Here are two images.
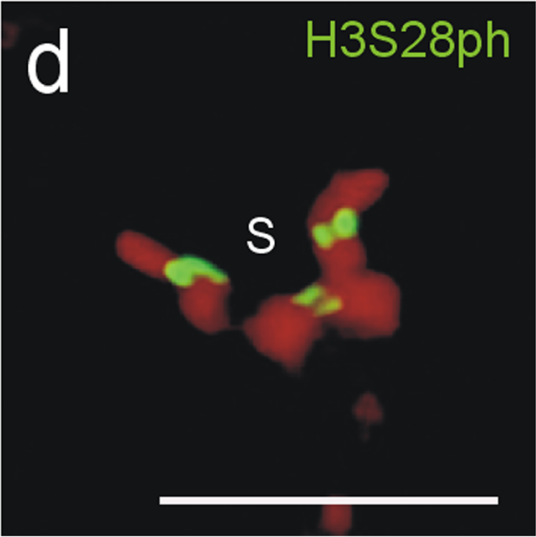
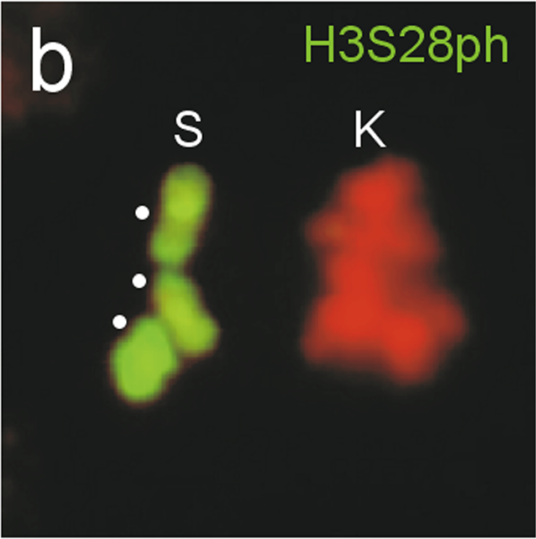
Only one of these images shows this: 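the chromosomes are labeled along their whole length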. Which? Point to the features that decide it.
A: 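First image: green label is confined to narrow bands at one point of each chromosome. Second image: a group of chromosomes is green throughout, beside an unlabeled red chromosome mass.
Hence: the second image.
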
